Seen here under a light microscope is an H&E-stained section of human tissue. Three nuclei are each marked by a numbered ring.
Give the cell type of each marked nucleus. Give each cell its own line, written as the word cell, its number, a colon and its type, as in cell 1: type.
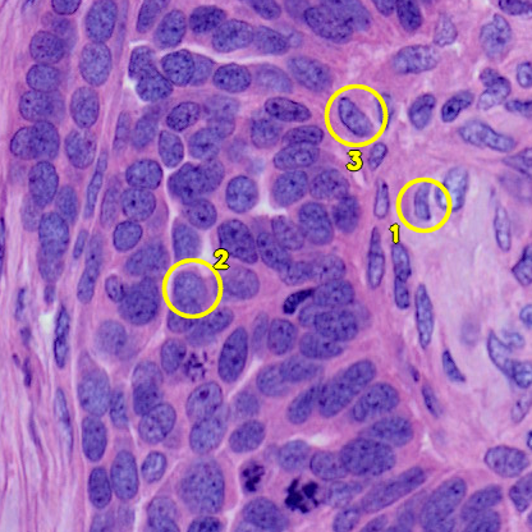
cell 1: fibroblast
cell 2: carcinoma cell
cell 3: fibroblast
